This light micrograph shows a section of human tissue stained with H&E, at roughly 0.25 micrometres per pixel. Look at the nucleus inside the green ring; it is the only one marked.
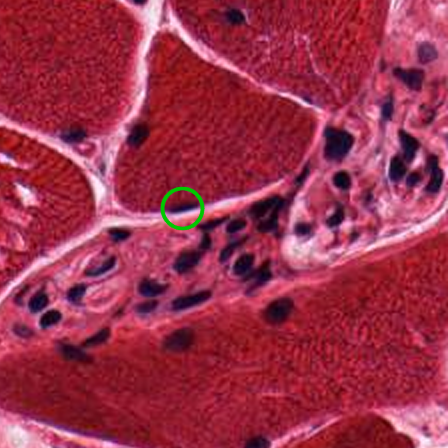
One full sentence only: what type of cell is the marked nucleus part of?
What is marked is the nucleus of a skeletal muscle fibre.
